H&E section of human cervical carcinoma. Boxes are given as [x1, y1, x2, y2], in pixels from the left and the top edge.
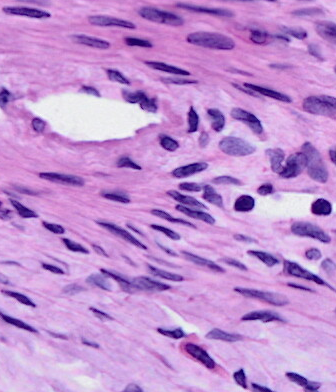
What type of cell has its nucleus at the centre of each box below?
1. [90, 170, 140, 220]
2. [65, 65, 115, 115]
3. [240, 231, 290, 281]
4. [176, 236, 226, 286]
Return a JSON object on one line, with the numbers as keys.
{"1": "fibroblast", "2": "endothelial cell", "3": "fibroblast", "4": "fibroblast"}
